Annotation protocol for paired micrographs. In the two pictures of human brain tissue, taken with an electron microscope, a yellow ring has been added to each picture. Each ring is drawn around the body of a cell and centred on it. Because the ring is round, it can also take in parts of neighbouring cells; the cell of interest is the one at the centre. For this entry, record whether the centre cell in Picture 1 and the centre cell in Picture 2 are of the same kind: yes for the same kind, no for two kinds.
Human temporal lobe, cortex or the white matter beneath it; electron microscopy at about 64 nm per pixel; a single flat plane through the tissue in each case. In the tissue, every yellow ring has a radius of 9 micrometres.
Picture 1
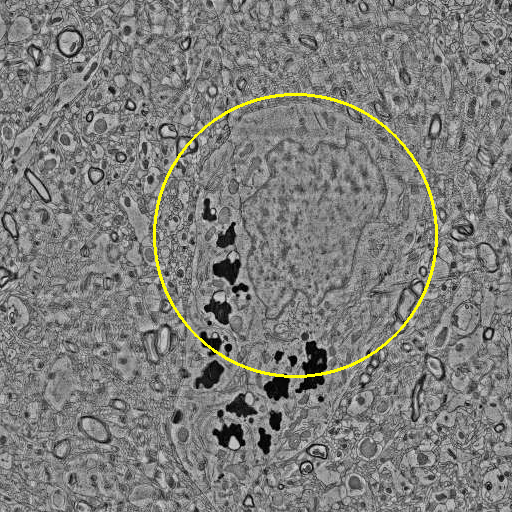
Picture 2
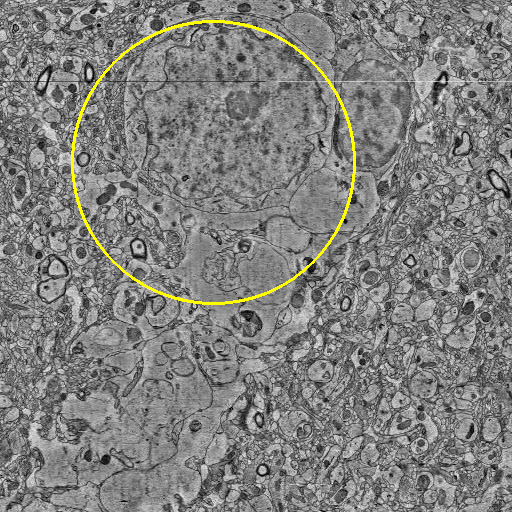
yes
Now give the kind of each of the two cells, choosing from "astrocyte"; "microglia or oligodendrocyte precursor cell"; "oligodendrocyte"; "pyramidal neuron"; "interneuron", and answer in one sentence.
The cell in the first picture is an interneuron, and so is the one in the second.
